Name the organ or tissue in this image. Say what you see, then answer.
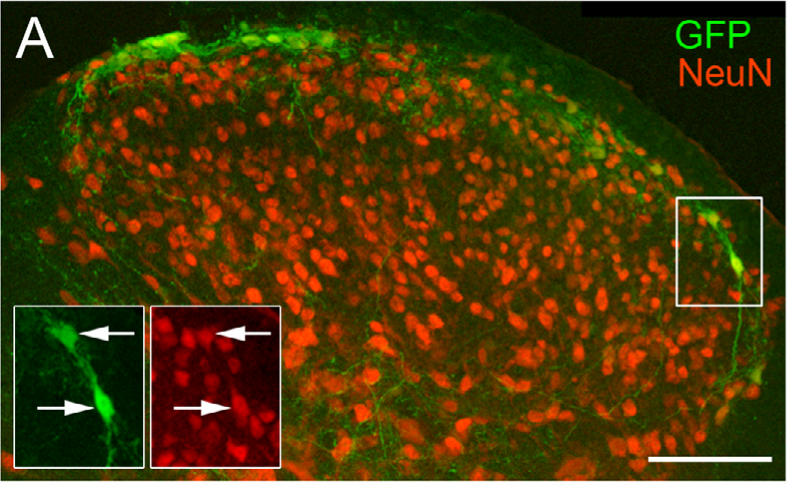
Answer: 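Spinal cord dorsal horn. A thin rim of unlabelled tissue borders the curved dorsal edge.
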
